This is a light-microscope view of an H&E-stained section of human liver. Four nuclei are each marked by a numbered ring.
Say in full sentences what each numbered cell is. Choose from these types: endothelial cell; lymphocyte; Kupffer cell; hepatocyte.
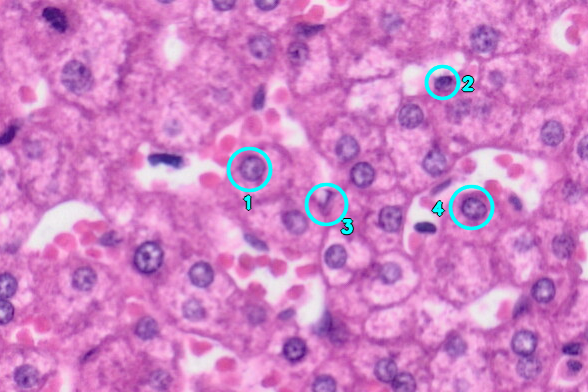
Cells 1 and 4 are hepatocytes. Cell 2 is a Kupffer cell. Cell 3 is an endothelial cell.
